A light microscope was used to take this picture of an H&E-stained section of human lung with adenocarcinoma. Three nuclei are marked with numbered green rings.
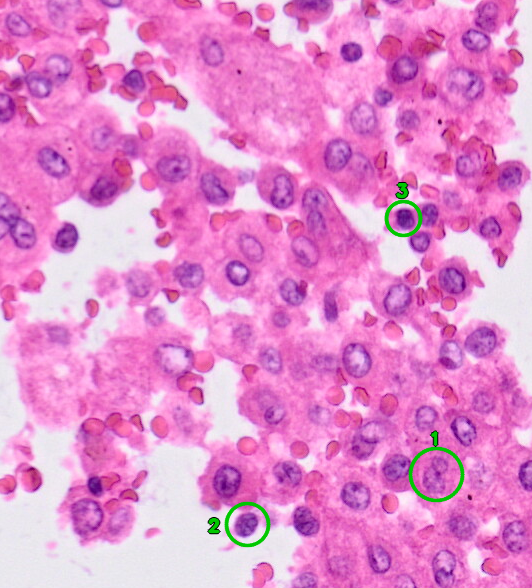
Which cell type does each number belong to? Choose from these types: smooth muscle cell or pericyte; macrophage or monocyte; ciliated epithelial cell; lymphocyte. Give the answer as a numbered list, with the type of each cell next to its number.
1. macrophage or monocyte
2. lymphocyte
3. lymphocyte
